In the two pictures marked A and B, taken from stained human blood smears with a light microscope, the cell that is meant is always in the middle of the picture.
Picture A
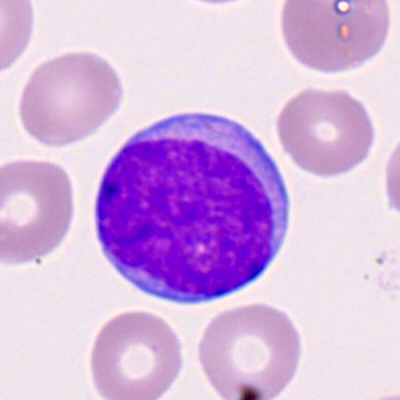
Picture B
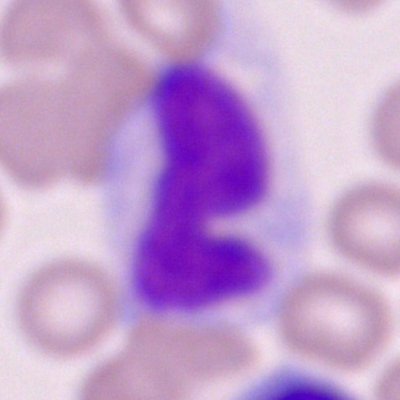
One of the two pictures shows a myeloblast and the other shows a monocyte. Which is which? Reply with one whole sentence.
In picture A the cell is a myeloblast; in picture B, a monocyte.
